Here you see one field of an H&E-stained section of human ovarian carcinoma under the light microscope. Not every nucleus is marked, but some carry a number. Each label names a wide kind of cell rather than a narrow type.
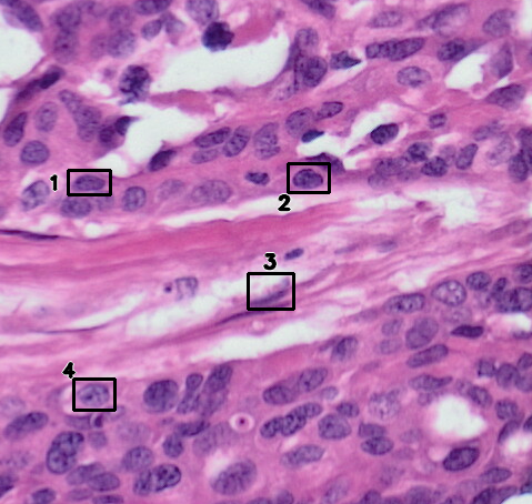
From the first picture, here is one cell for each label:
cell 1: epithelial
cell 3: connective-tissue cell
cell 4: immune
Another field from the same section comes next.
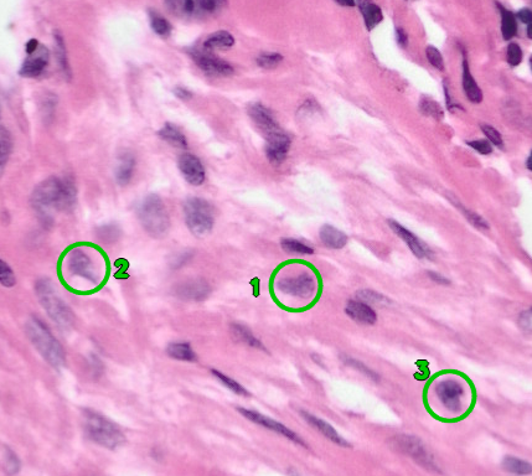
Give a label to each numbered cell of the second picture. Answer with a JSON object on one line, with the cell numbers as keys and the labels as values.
{"1": "connective-tissue cell", "2": "connective-tissue cell", "3": "immune"}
